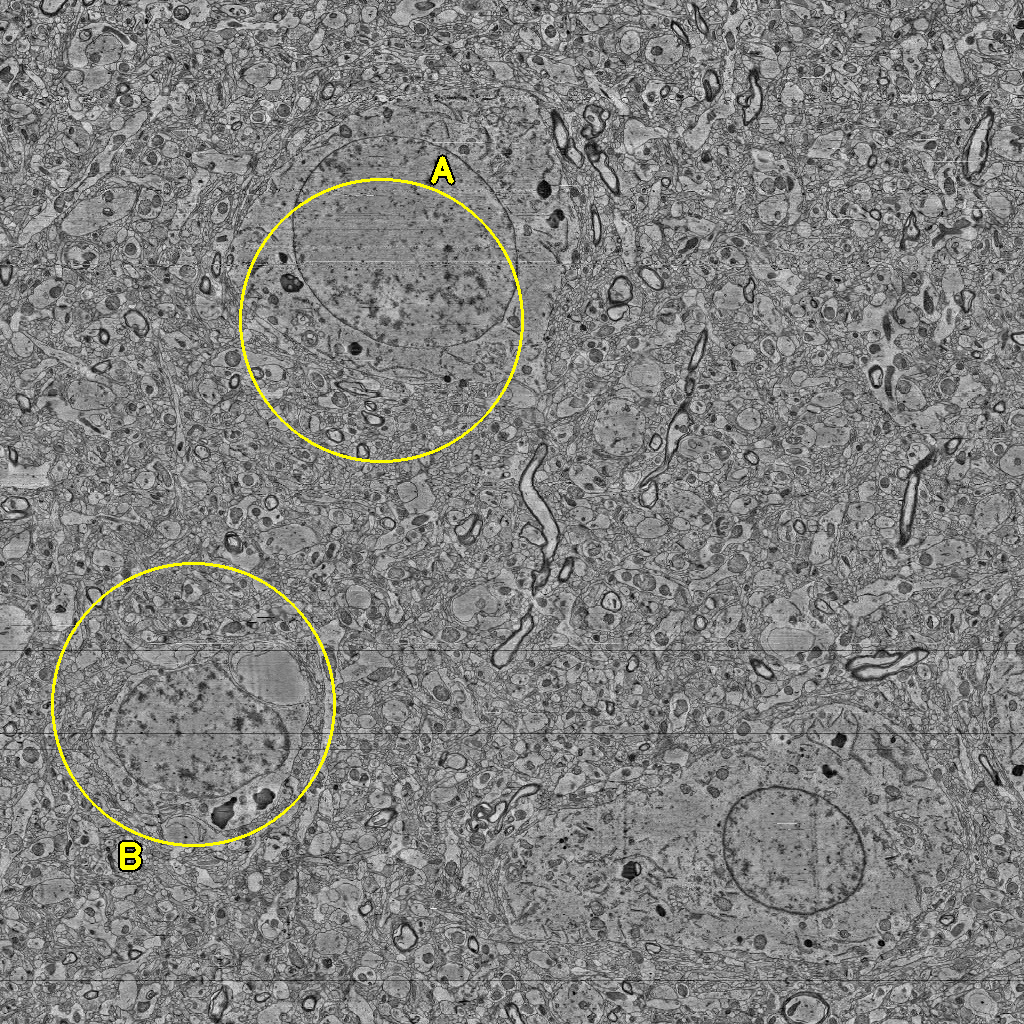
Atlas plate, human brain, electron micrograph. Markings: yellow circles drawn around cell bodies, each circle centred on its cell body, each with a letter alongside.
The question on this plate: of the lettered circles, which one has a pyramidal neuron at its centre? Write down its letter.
A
